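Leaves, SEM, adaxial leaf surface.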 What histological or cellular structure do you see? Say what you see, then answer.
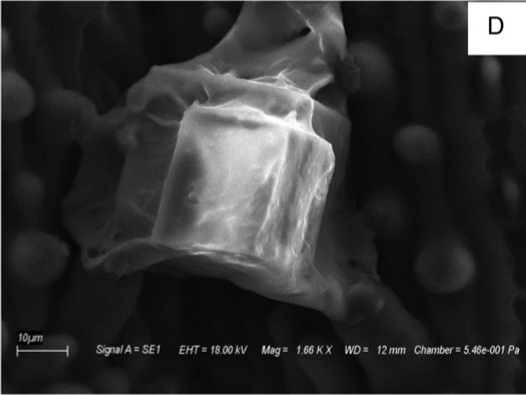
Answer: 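A single block-shaped crystal with flat faces and straight edges lies at the centre. The crystal sits on the leaf surface among rounded finger-like projections. A thin film-like sheet partly wraps the crystal. That points to this answer: salt crystal.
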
